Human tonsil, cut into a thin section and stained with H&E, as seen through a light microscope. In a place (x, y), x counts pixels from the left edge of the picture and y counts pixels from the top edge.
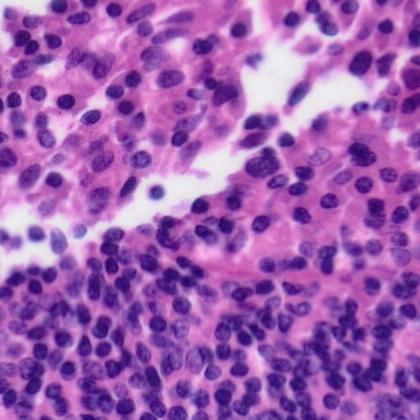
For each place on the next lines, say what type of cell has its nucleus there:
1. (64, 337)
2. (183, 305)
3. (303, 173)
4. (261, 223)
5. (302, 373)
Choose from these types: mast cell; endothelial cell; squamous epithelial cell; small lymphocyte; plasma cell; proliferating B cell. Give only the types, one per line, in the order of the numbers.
small lymphocyte
small lymphocyte
plasma cell
plasma cell
small lymphocyte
